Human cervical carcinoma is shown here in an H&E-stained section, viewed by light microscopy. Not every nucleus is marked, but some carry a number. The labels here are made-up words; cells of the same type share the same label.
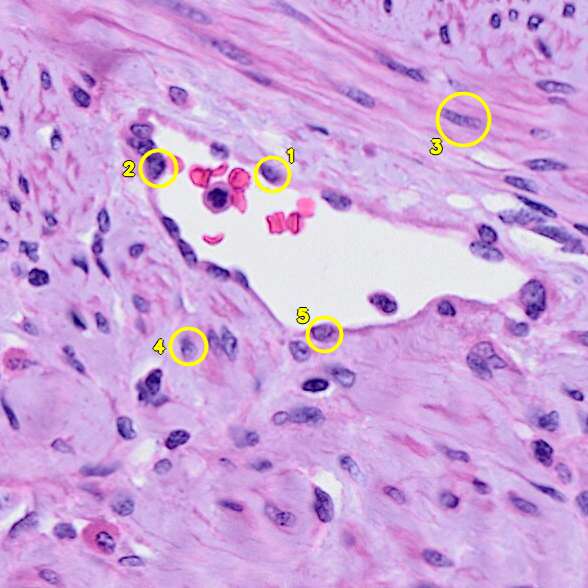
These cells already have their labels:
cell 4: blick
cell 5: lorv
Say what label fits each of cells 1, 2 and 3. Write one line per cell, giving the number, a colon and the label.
1: lorv
2: lorv
3: blick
